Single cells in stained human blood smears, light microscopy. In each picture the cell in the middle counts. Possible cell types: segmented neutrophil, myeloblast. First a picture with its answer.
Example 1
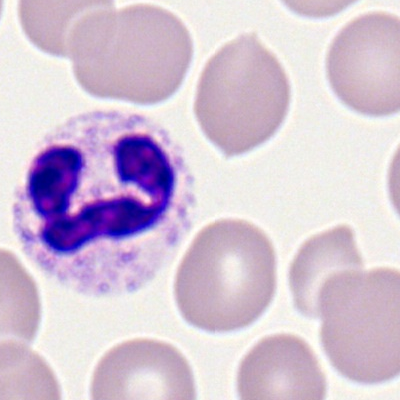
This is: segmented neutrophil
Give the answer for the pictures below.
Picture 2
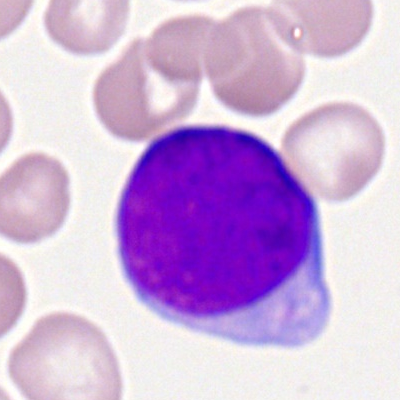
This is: myeloblast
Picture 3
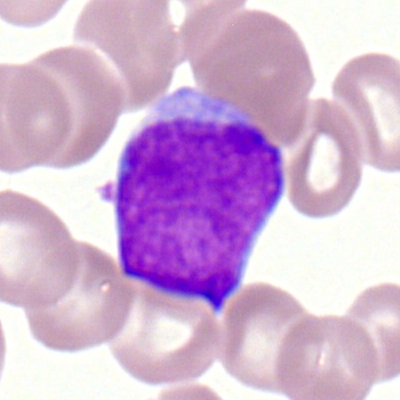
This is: myeloblast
